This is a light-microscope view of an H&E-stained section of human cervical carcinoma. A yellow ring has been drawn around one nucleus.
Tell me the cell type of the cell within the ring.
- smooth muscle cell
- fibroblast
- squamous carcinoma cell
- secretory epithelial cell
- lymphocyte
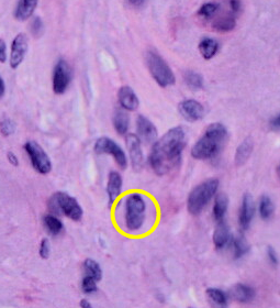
fibroblast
